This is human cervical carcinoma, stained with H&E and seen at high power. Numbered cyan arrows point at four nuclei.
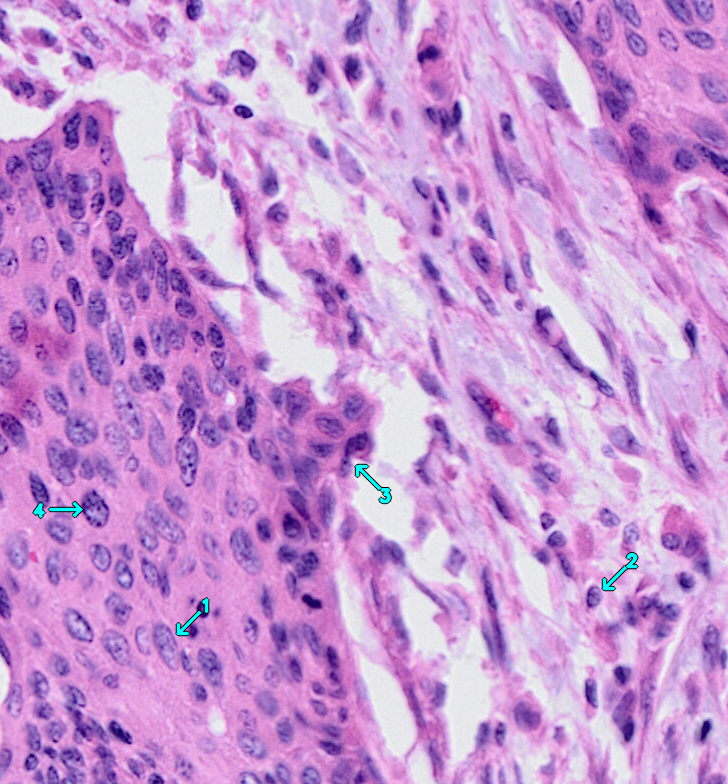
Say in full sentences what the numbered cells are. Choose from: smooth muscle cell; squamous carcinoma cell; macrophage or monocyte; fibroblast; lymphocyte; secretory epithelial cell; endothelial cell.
Cell 1 is a squamous carcinoma cell, cell 2 is a lymphocyte, cell 3 is a squamous carcinoma cell and cell 4 is a squamous carcinoma cell.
